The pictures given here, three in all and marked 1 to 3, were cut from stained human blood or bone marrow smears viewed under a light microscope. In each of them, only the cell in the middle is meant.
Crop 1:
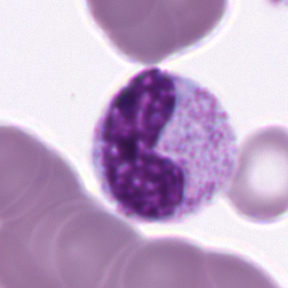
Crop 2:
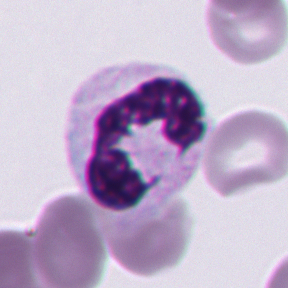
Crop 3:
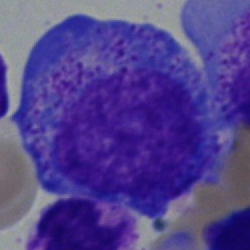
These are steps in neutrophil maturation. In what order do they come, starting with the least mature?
3, 1, 2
